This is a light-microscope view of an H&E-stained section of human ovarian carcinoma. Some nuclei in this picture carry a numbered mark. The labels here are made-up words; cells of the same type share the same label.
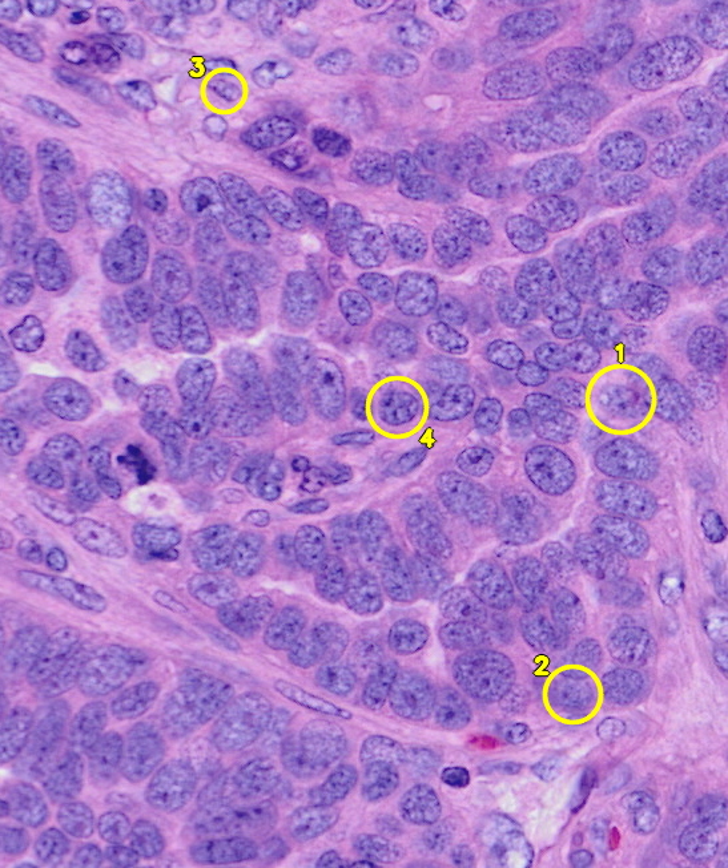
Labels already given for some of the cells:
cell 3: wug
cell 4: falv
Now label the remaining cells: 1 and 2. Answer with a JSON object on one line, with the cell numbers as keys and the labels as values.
{"1": "falv", "2": "falv"}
